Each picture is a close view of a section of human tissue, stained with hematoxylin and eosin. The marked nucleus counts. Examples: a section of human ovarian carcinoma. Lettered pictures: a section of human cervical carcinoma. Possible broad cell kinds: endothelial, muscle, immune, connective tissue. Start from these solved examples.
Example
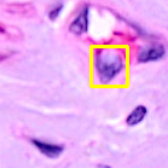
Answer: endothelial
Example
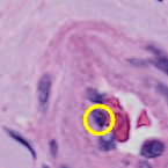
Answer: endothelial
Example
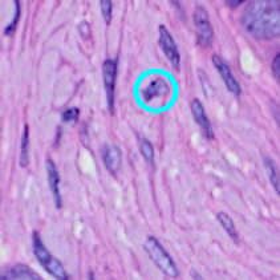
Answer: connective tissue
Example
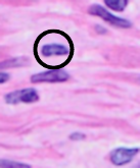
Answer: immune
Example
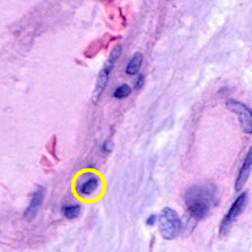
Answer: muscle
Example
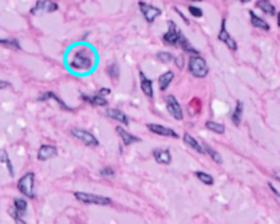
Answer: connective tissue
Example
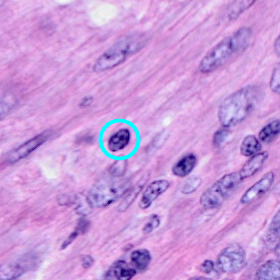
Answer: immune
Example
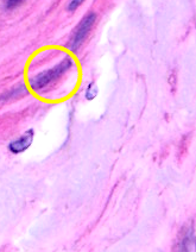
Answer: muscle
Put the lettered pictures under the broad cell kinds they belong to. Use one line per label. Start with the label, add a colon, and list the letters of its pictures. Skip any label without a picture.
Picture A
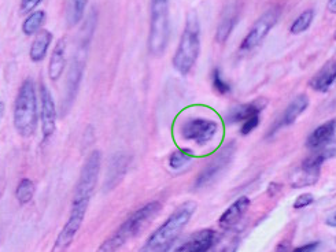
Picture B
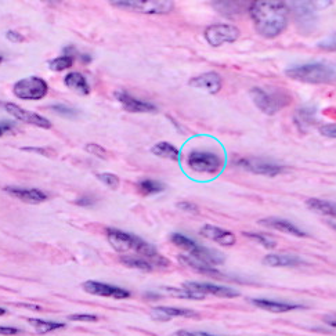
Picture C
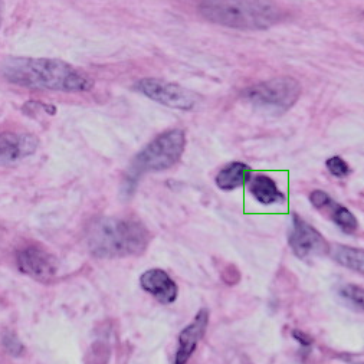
immune: A, B, C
